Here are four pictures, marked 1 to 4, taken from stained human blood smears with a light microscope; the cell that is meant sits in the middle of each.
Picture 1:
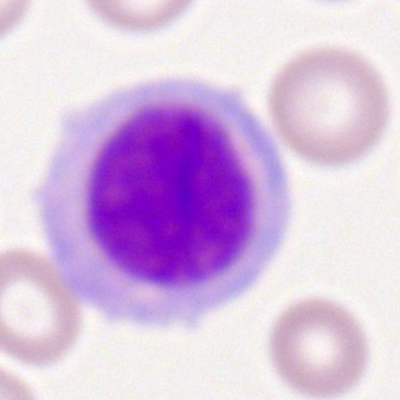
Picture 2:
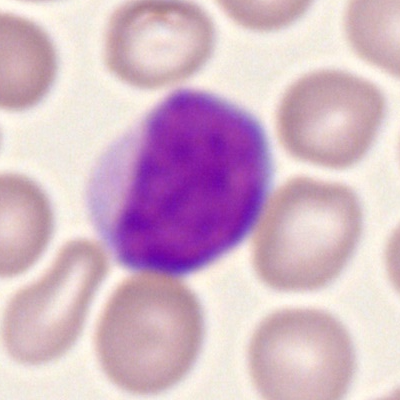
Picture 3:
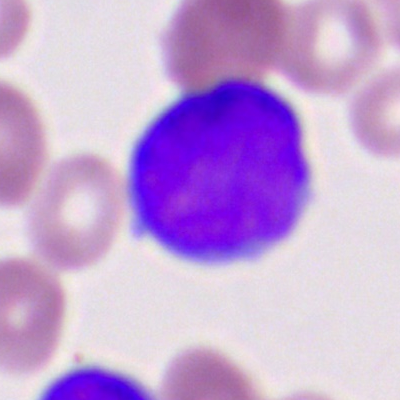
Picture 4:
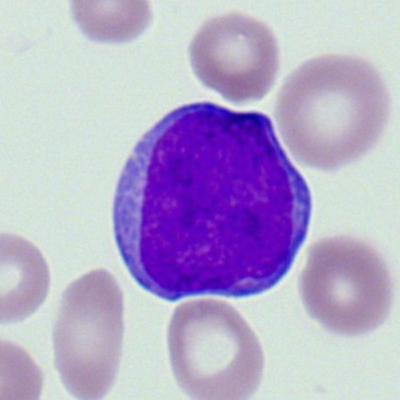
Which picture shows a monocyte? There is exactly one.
1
